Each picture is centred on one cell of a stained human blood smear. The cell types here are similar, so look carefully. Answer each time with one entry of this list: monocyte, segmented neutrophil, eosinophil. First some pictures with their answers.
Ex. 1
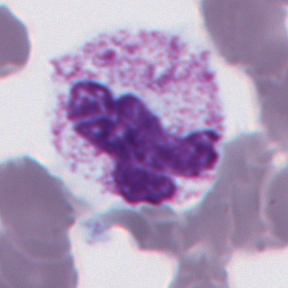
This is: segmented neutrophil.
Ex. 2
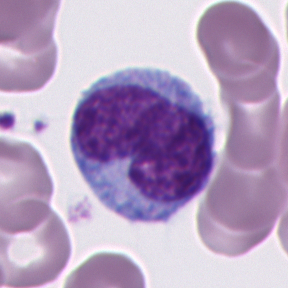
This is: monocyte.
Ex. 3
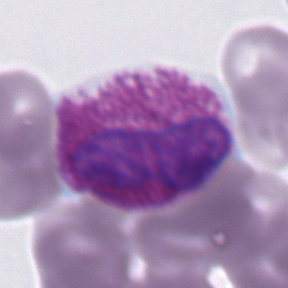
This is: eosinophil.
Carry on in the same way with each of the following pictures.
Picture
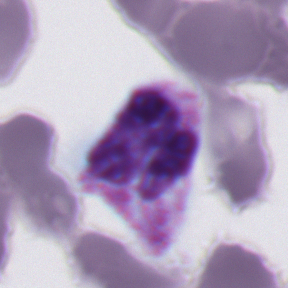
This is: segmented neutrophil.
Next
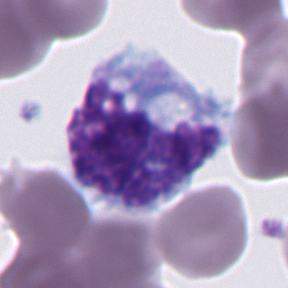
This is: monocyte.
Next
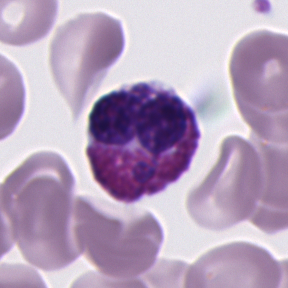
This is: eosinophil.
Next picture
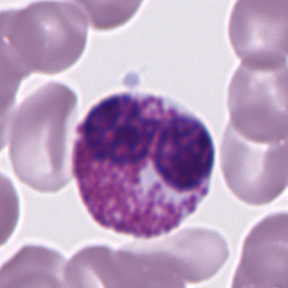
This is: eosinophil.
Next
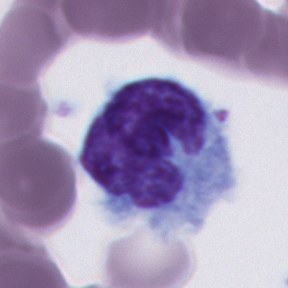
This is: monocyte.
